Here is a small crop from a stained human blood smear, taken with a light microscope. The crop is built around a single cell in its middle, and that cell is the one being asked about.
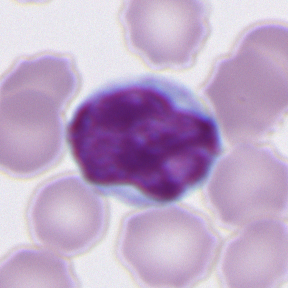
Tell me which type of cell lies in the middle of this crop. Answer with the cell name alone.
lymphocyte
